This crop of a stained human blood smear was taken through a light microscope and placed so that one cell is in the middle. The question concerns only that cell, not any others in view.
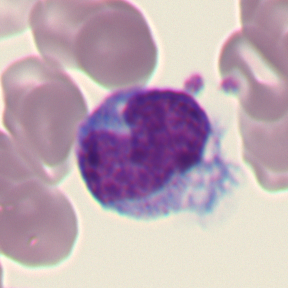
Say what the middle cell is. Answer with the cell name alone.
monocyte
